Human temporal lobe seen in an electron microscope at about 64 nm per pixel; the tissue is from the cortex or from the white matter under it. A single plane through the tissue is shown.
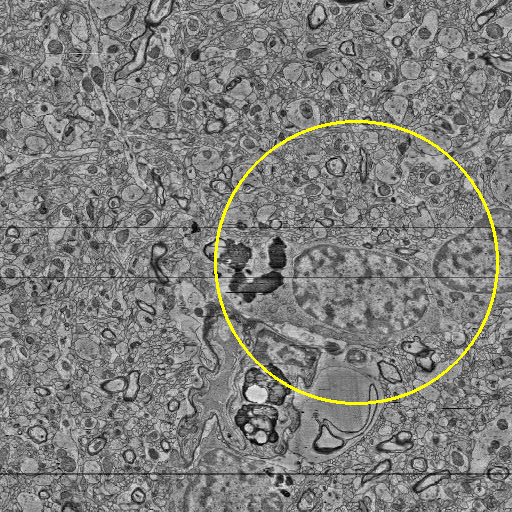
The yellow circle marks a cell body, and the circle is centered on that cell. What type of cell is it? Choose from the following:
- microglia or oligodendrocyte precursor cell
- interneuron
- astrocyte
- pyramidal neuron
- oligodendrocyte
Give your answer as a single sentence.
This cell body belongs to an oligodendrocyte.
